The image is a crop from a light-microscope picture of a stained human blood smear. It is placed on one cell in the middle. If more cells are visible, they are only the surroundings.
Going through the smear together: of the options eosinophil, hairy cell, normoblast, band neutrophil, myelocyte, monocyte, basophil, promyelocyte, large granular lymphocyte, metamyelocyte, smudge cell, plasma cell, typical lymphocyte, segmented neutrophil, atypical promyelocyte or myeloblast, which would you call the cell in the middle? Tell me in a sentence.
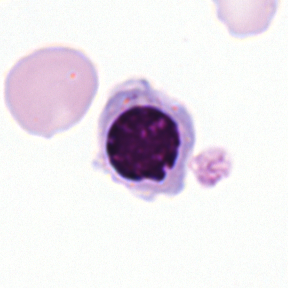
Here the cell in the middle is a normoblast.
